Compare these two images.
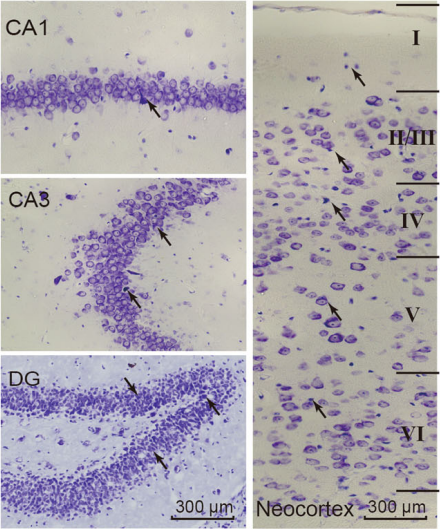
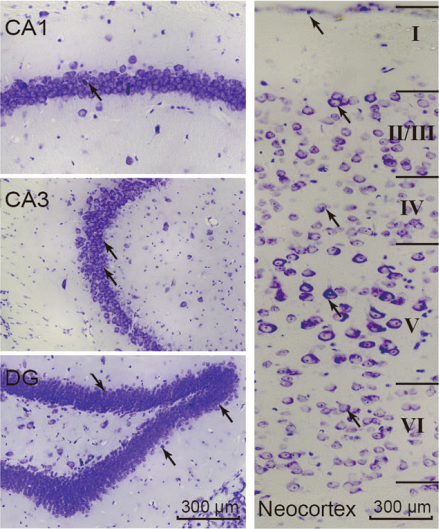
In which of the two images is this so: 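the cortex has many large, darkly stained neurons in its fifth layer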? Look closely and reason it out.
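First image: the layer labelled V has fewer, more scattered large dark cell bodies. Second image: the layer labelled V is crowded with large, darkly stained cell bodies. So: the second image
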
